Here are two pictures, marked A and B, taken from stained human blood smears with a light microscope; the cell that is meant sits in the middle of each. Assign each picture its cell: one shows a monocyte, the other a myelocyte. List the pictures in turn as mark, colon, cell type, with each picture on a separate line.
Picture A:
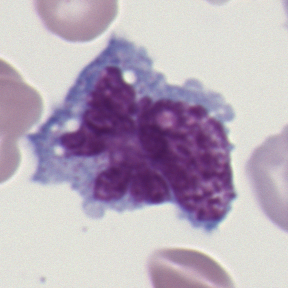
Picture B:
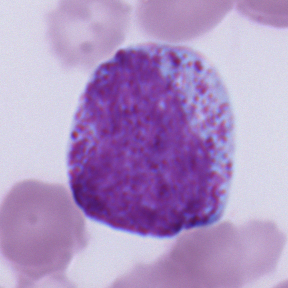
A: monocyte
B: myelocyte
